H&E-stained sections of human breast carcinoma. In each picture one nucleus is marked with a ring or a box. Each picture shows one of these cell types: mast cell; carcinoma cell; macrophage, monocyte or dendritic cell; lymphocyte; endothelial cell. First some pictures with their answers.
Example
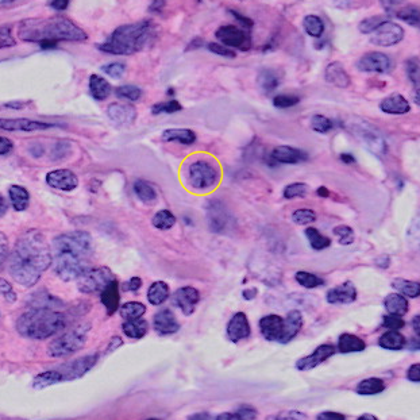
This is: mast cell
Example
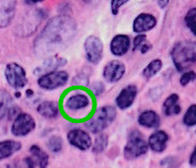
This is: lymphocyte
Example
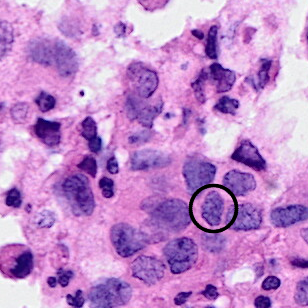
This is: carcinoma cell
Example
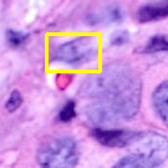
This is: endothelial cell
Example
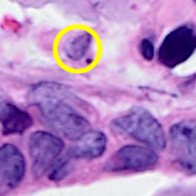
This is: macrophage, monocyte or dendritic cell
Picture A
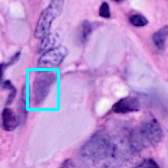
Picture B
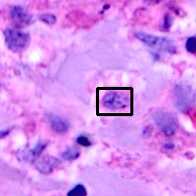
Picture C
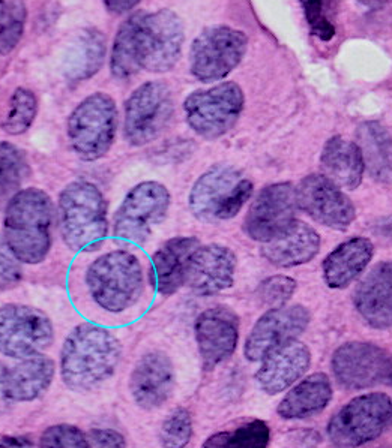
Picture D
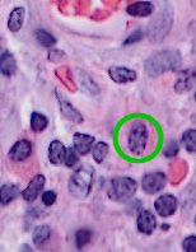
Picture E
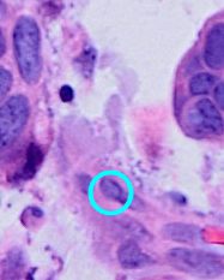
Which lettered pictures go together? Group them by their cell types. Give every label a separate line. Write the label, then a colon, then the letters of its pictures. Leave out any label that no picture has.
mast cell: B, D
carcinoma cell: C
endothelial cell: A, E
